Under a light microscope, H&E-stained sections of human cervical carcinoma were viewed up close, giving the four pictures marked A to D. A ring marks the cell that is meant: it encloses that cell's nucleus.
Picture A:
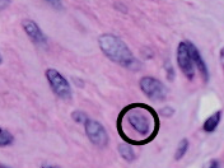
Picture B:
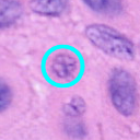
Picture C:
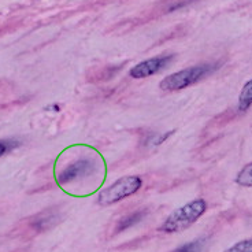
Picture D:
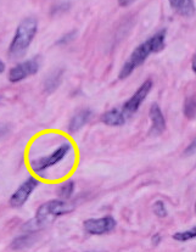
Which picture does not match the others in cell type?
B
